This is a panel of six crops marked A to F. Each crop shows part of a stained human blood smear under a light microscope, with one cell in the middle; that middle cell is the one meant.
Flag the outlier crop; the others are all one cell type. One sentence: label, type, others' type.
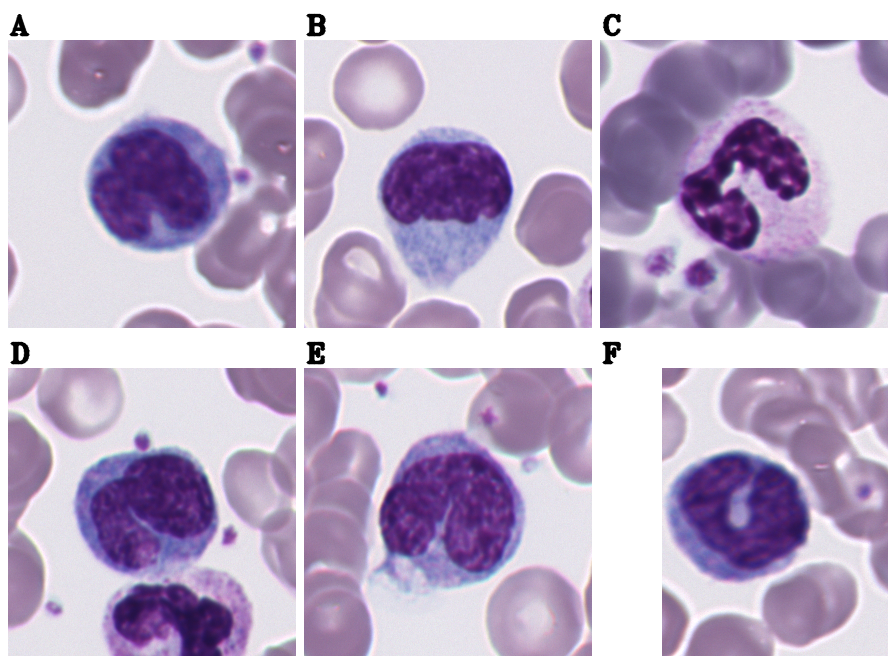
Crop C is singled out as a segmented neutrophil, and all of the other crops show monocytes.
